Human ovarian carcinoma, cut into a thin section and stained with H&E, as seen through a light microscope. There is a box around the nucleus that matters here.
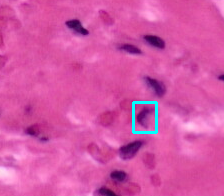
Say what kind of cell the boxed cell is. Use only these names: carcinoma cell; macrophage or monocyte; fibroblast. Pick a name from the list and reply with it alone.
fibroblast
